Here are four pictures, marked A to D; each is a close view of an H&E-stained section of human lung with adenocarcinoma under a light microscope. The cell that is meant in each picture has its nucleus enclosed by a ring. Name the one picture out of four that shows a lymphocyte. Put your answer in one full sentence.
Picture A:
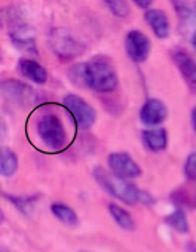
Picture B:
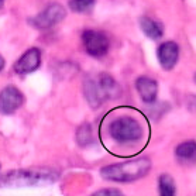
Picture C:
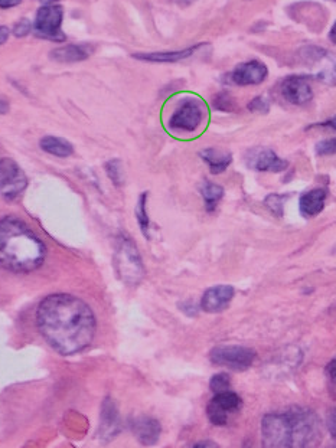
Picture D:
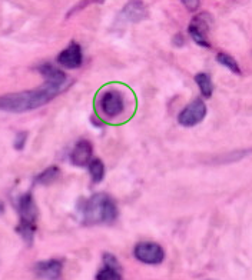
Picture B shows the lymphocyte.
